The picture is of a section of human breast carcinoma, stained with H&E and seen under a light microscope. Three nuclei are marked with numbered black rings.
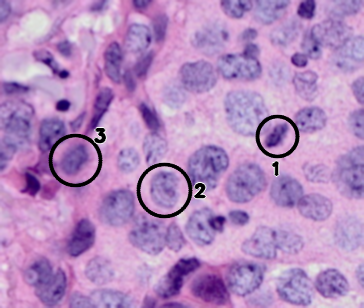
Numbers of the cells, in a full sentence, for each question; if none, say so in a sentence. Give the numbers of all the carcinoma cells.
The cells tagged 2 and 3 are carcinoma cells in this tissue section.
